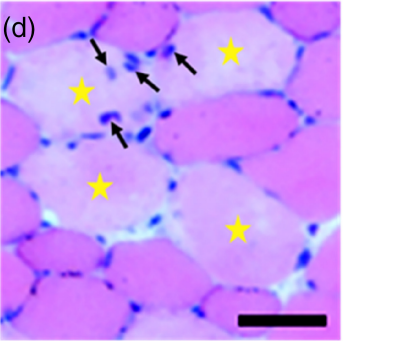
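Cross-section of skeletal muscle in which closely packed polygonal myofibers are seen. Most fibers have evenly pink cytoplasm, while several fibers are markedly paler and washed-out. Small dark blue nuclei lie at the fiber borders and in the narrow spaces between fibers, and some cluster along the edge of a pale fiber. Thin clear gaps separate some of the fibers.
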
